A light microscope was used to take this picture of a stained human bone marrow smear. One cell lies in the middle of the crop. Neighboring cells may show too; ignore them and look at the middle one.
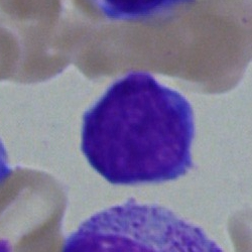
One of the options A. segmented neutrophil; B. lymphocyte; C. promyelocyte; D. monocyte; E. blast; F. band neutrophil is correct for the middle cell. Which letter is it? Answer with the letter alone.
B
